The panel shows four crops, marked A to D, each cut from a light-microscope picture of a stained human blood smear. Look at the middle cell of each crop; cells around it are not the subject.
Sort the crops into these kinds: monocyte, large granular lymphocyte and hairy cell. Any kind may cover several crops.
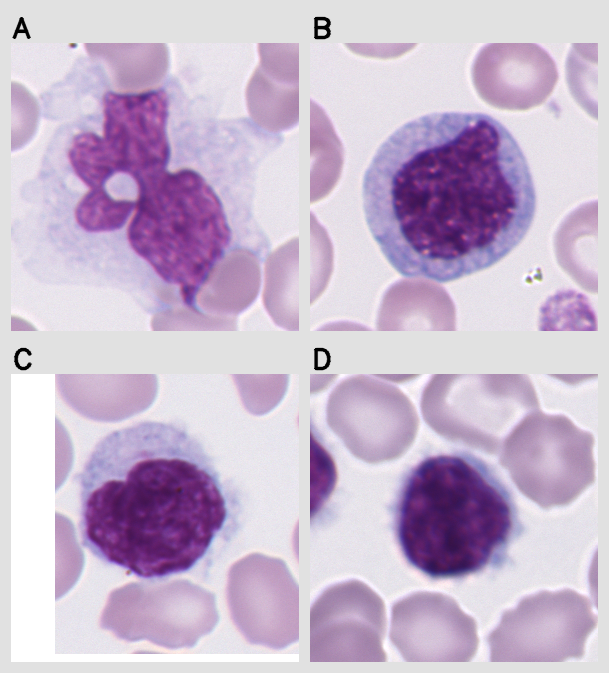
A: monocyte
B: monocyte
C: hairy cell
D: hairy cell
